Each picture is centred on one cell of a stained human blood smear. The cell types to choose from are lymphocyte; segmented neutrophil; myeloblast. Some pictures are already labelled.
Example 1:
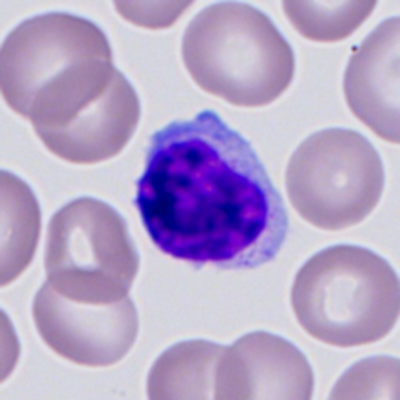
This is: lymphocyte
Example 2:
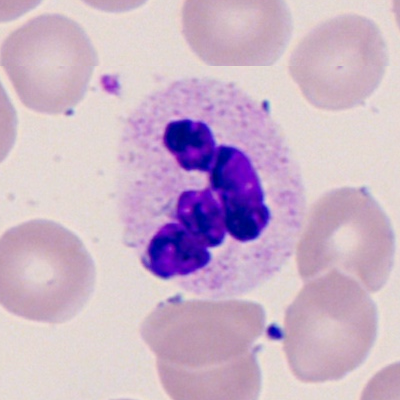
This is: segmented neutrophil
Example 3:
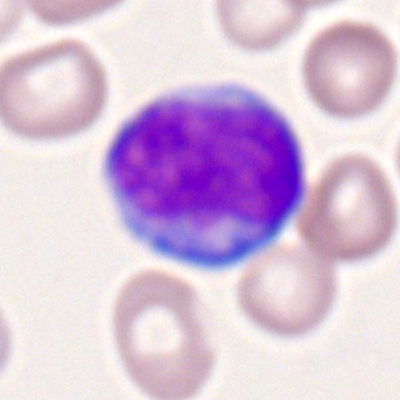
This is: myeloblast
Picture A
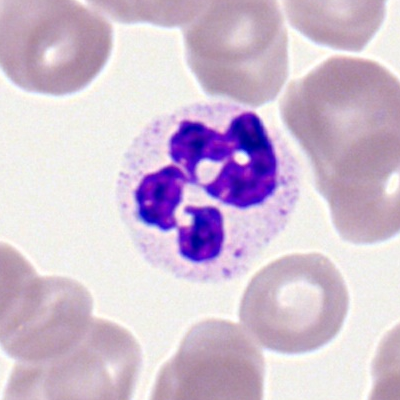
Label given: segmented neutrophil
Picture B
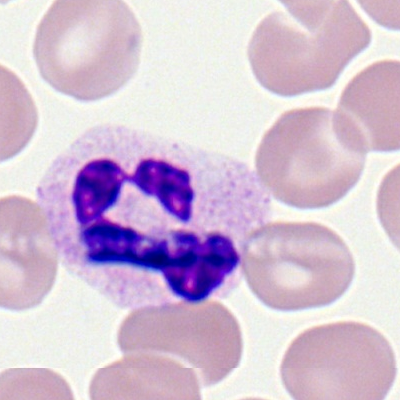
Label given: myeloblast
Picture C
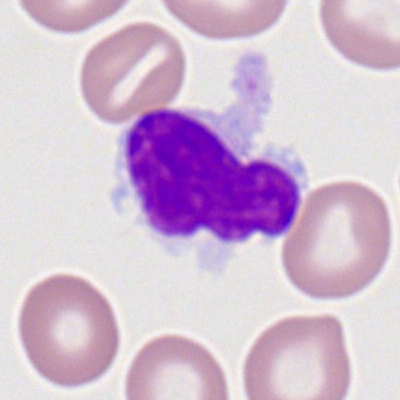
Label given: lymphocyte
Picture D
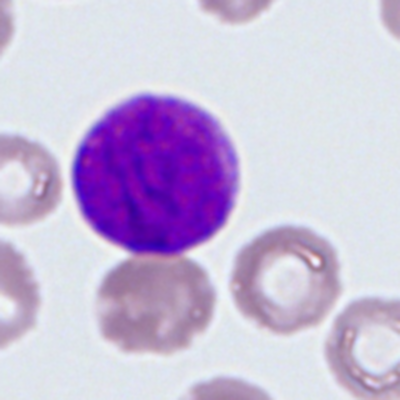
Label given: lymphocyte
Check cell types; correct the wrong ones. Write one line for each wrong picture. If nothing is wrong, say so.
B is labelled myeloblast; correct label: segmented neutrophil
D is labelled lymphocyte; correct label: myeloblast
